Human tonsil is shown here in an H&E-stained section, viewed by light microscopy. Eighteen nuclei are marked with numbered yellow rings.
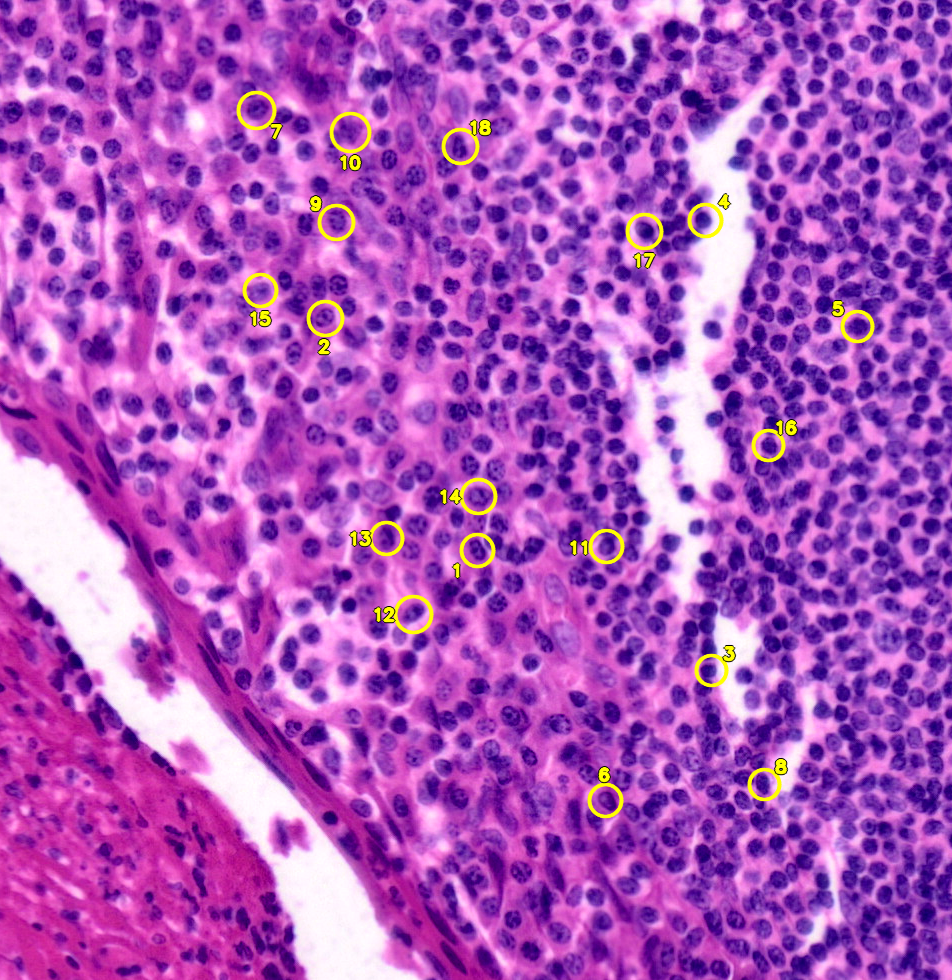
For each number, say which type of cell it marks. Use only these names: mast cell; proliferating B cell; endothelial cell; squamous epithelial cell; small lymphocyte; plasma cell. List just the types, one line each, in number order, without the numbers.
plasma cell
plasma cell
small lymphocyte
small lymphocyte
small lymphocyte
plasma cell
plasma cell
small lymphocyte
plasma cell
squamous epithelial cell
small lymphocyte
plasma cell
plasma cell
plasma cell
plasma cell
small lymphocyte
small lymphocyte
plasma cell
